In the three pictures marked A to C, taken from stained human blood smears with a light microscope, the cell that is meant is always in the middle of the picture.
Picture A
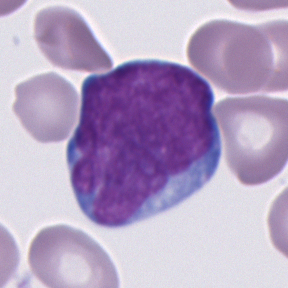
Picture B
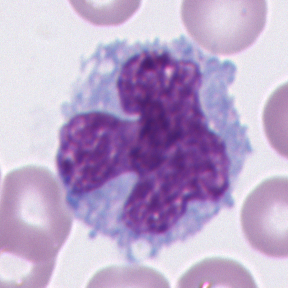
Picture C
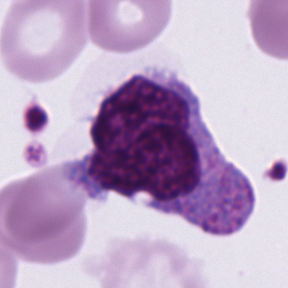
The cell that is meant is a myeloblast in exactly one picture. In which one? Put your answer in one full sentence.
It is picture A that shows the myeloblast.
